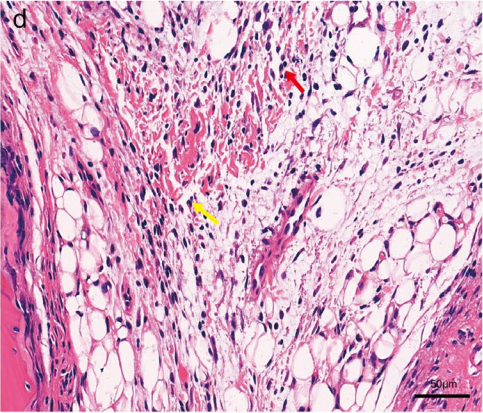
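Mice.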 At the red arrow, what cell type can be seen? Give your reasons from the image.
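Such cells are crowded in the loose stroma between fat cells.
Mononuclear cells.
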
